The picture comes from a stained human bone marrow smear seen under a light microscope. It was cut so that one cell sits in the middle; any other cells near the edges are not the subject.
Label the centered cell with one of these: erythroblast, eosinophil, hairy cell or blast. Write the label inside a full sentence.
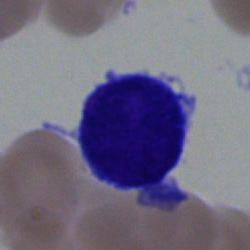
Within this crop, a blast occupies the central position.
